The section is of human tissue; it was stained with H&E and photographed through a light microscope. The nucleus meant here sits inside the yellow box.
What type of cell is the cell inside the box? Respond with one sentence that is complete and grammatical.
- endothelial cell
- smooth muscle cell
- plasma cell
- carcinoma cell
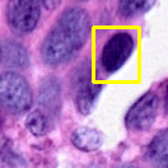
The cell type represented by the cell inside the box is that of a carcinoma cell.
